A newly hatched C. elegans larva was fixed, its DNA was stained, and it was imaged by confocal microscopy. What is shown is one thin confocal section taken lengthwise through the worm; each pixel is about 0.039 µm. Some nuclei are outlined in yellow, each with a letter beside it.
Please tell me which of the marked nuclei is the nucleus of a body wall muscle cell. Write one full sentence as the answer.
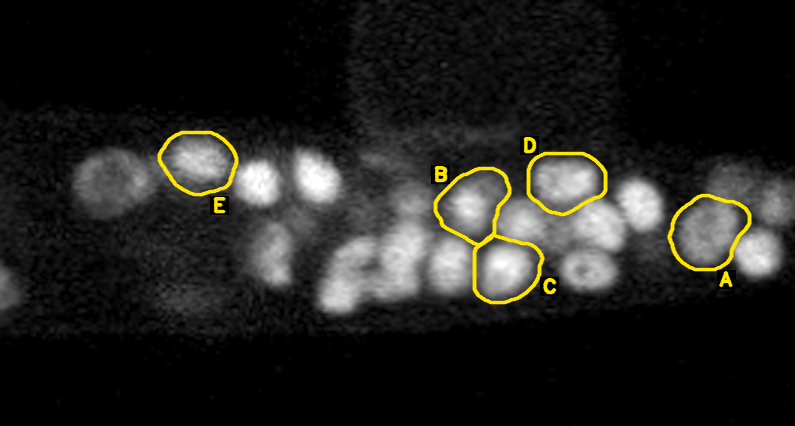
D is the one that belongs to a body wall muscle cell.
